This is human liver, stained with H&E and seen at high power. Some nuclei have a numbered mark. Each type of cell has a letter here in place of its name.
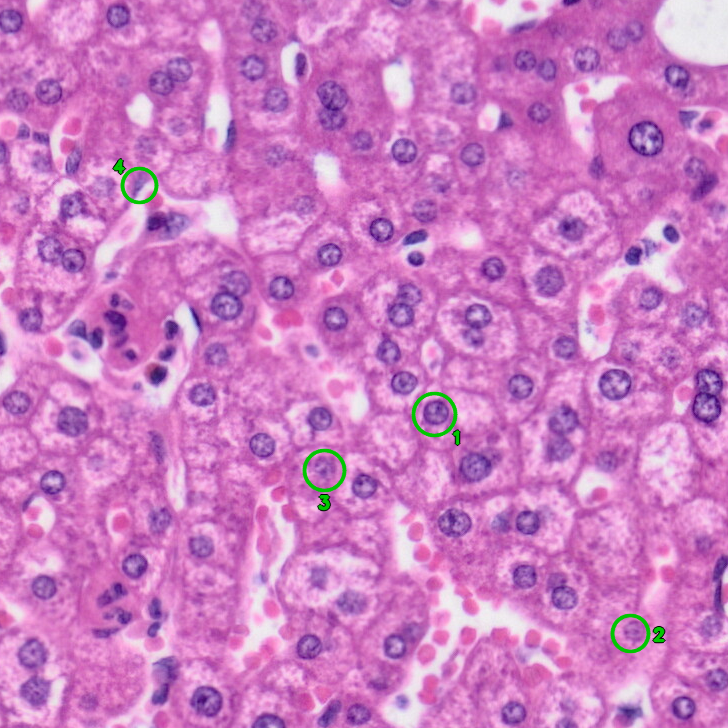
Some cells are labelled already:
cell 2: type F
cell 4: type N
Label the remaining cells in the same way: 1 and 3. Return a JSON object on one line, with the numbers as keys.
{"1": "type F", "3": "type F"}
